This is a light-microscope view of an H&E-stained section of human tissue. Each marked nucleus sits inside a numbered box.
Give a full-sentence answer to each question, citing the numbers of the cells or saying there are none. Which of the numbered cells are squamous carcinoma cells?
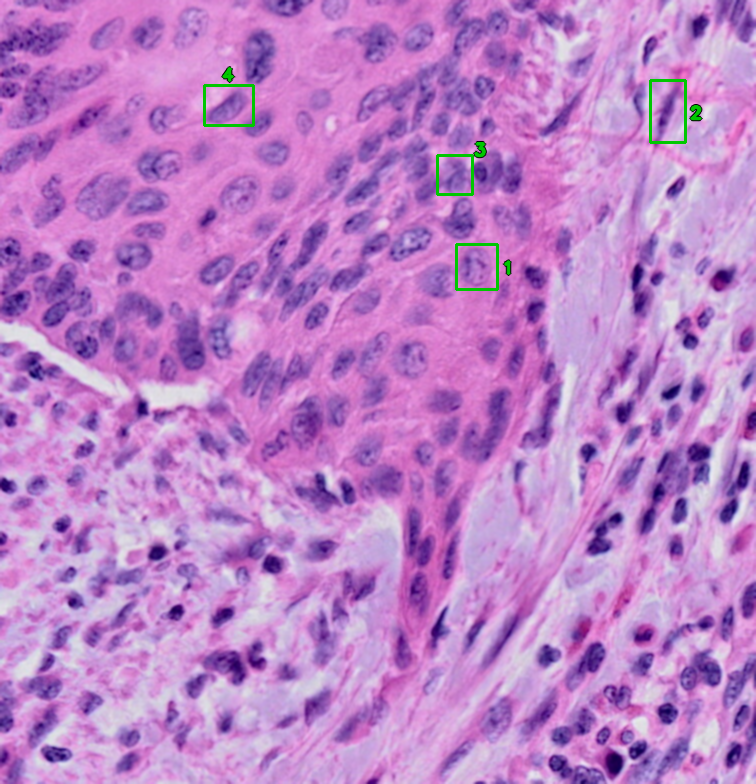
The cells shown with numbers 1, 3 and 4 are squamous carcinoma cells.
